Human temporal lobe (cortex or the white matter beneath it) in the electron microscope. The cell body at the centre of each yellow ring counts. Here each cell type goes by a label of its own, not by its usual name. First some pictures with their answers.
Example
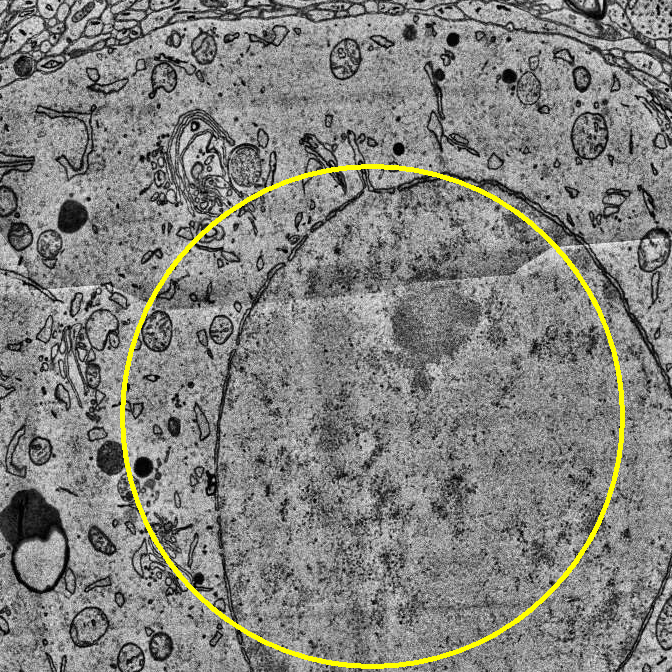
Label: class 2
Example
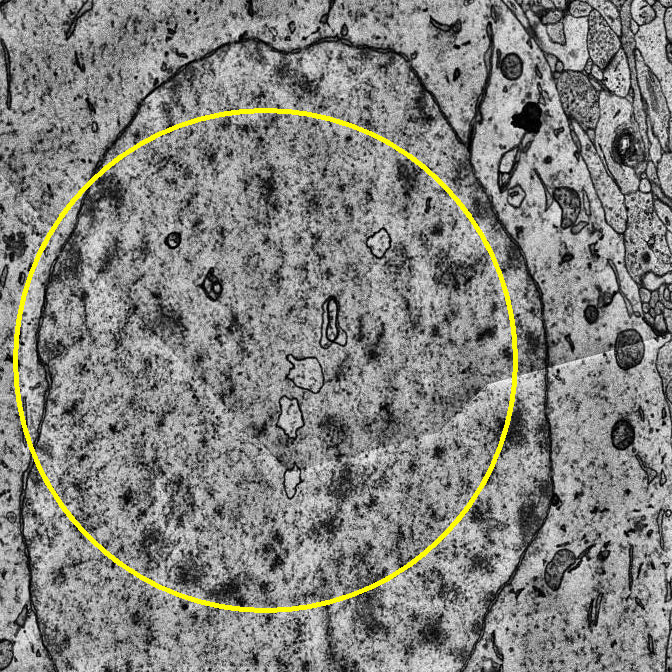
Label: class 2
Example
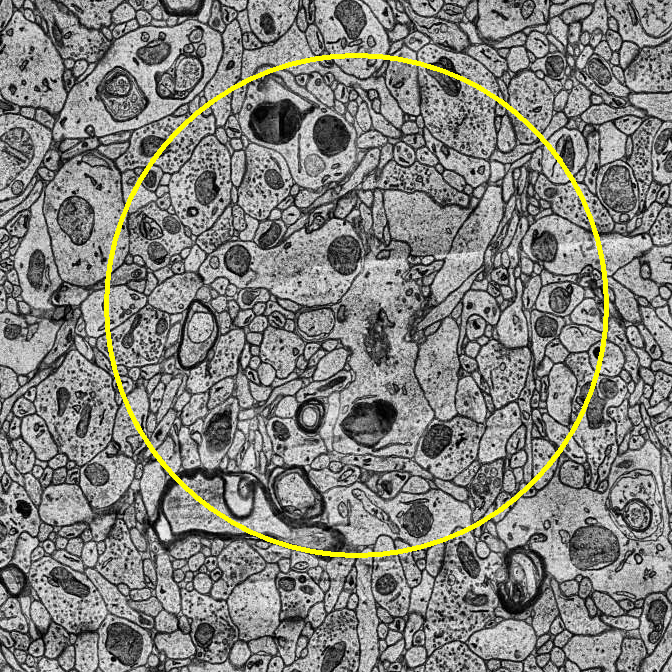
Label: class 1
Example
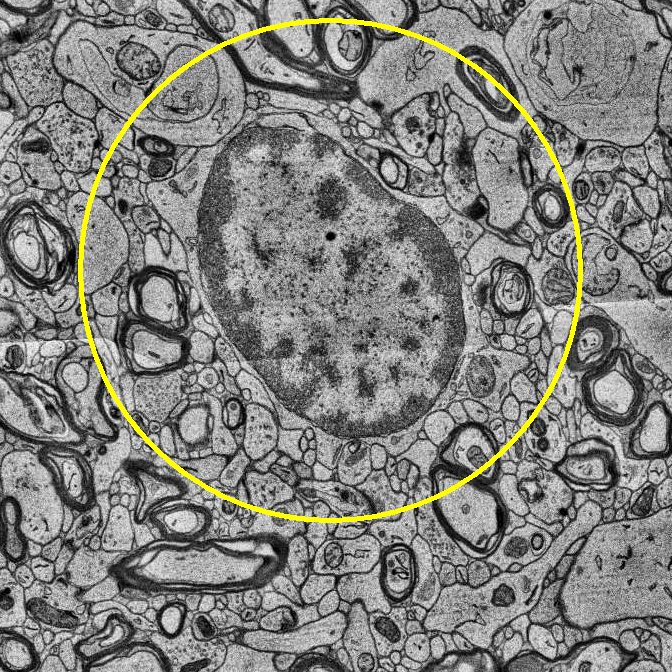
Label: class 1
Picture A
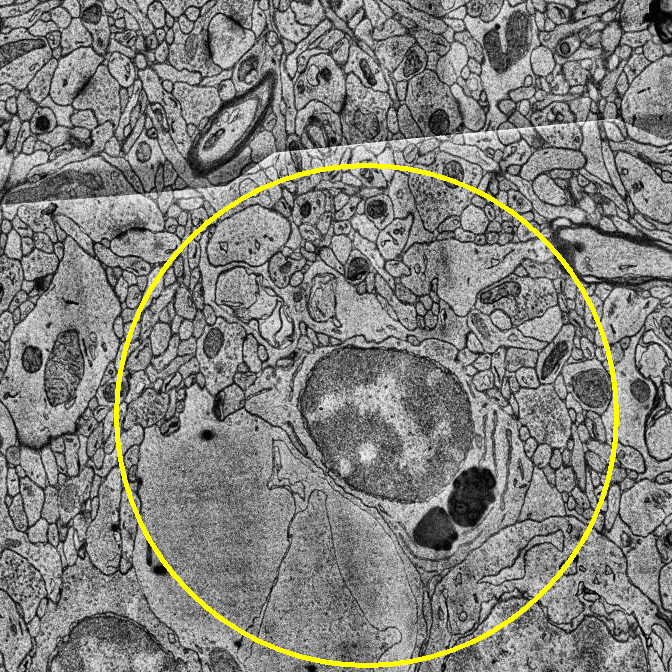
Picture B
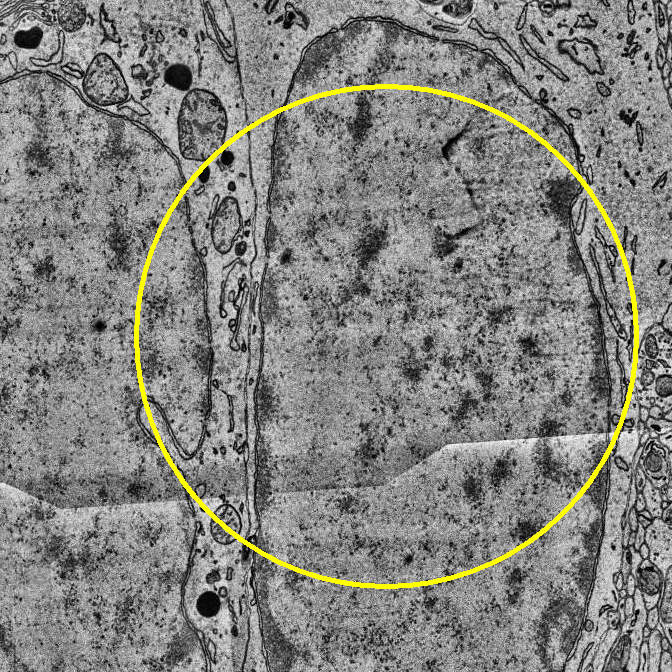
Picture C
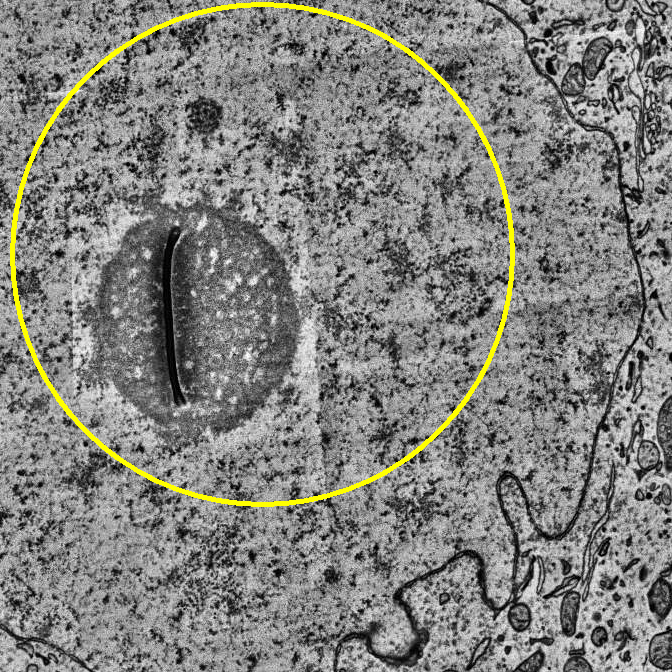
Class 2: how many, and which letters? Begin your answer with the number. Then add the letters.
1: C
